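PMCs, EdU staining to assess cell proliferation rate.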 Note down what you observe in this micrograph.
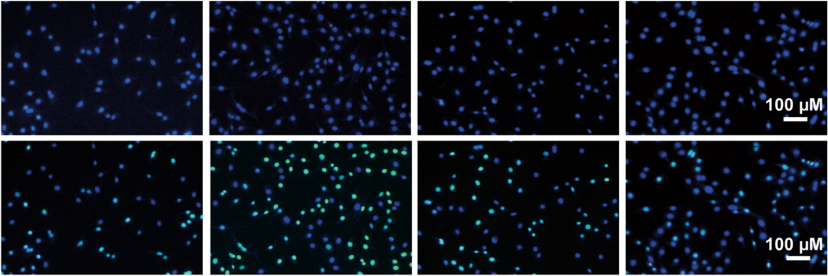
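This is a grid of fluorescence images of cultured cells spread thinly over the dish. Their round to oval nuclei are scattered at moderate density. A green label fills only some of the nuclei, while blue labels every nucleus, and in the merged images the green nuclei sit over blue ones.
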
